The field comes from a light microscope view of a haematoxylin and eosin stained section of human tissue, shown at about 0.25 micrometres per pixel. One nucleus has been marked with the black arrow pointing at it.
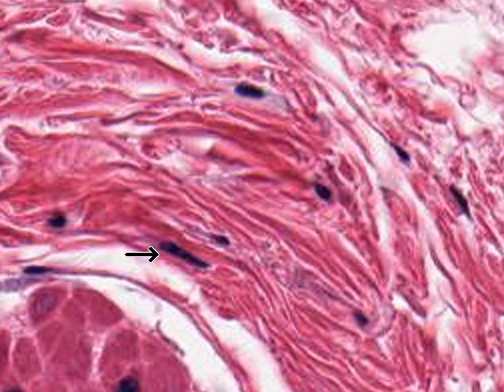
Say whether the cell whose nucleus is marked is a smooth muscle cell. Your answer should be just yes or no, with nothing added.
no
